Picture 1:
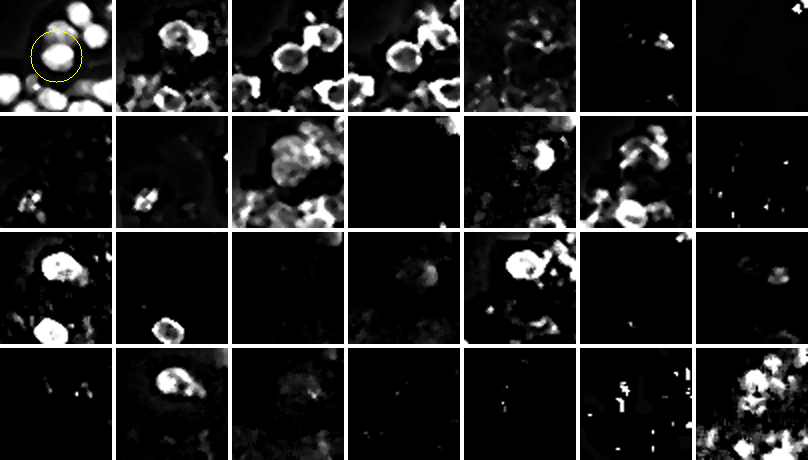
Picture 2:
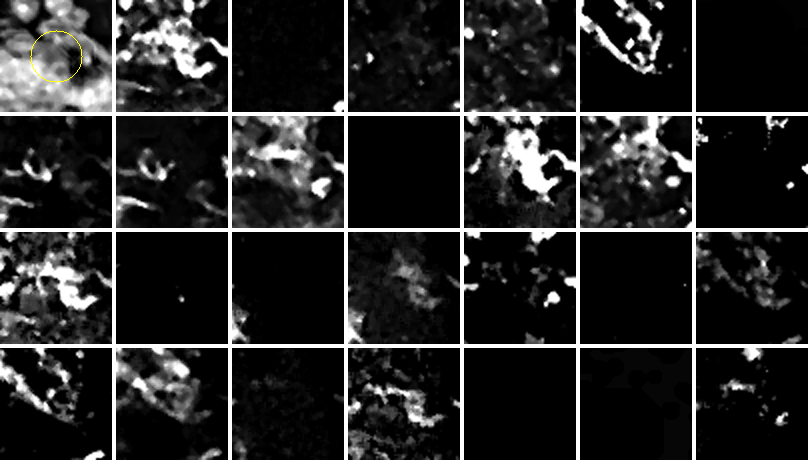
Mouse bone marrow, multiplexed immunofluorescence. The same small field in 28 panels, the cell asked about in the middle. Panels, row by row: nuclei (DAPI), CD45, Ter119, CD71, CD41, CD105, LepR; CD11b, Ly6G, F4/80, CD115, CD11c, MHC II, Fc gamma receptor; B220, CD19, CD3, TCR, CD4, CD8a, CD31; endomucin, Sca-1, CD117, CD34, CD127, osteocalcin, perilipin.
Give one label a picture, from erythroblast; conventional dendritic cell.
(1) erythroblast
(2) conventional dendritic cell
